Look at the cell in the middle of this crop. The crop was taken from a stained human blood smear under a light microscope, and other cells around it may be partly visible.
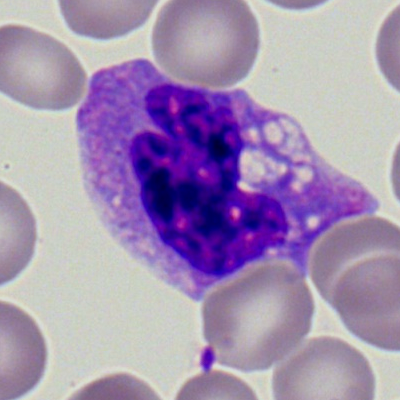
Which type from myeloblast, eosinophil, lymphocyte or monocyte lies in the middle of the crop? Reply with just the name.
monocyte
